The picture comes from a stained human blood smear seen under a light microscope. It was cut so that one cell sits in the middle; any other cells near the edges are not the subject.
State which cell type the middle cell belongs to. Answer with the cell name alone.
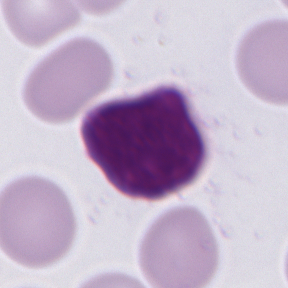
smudge cell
